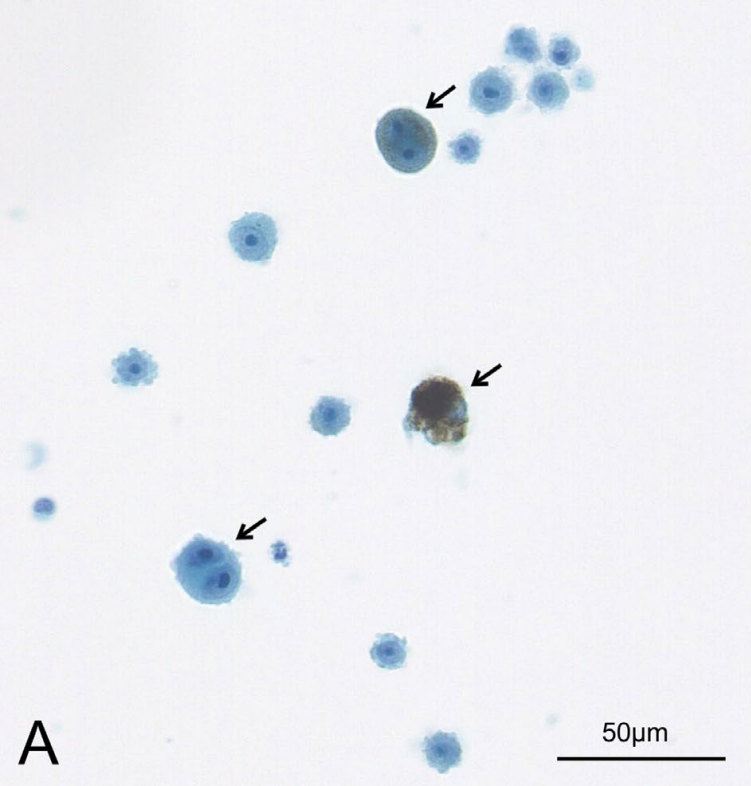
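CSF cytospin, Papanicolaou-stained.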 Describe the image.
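The malignant cells are larger, with round nuclei holding prominent dark nucleoli; one is binucleate. One cell is filled with dark brown-black pigment that obscures its nucleus, with greenish-brown pigment at its margin. The smaller background cells have single central nuclei and ruffled cell borders.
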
